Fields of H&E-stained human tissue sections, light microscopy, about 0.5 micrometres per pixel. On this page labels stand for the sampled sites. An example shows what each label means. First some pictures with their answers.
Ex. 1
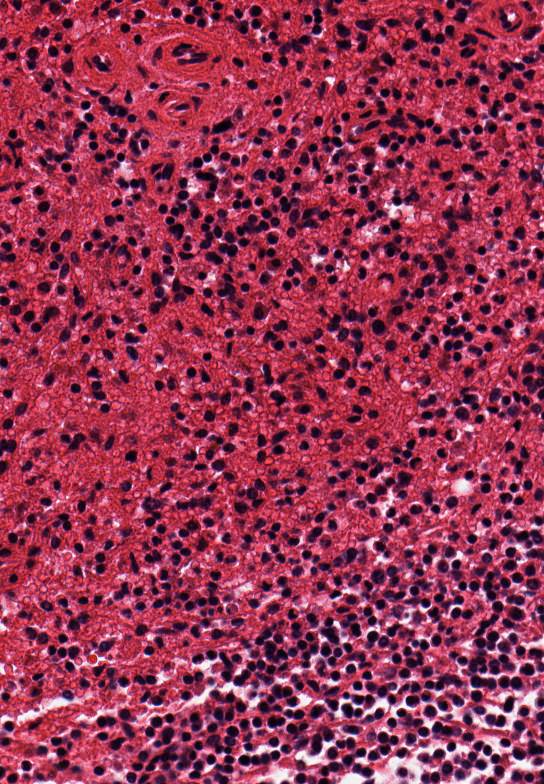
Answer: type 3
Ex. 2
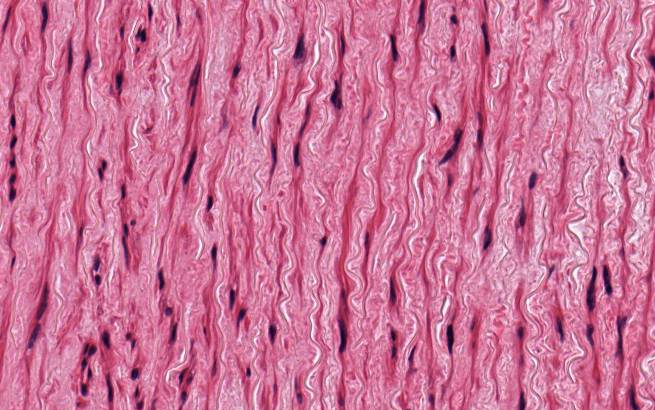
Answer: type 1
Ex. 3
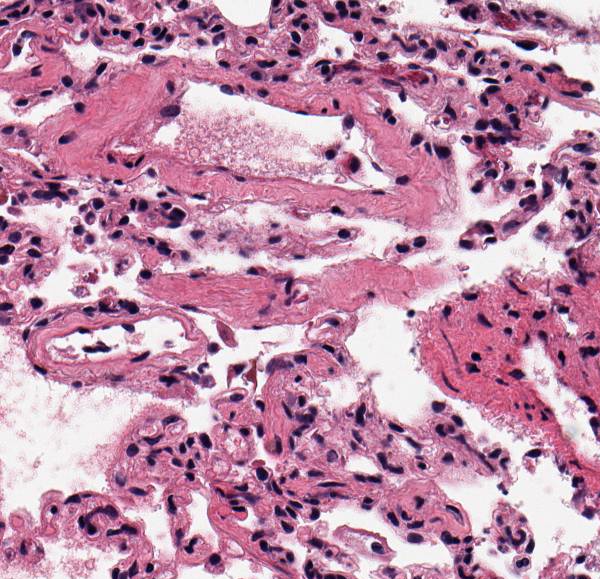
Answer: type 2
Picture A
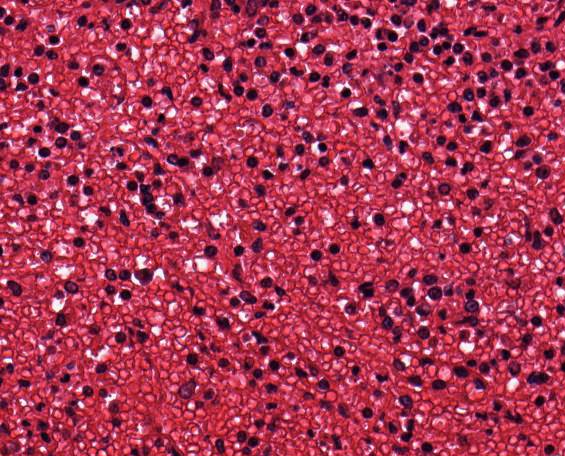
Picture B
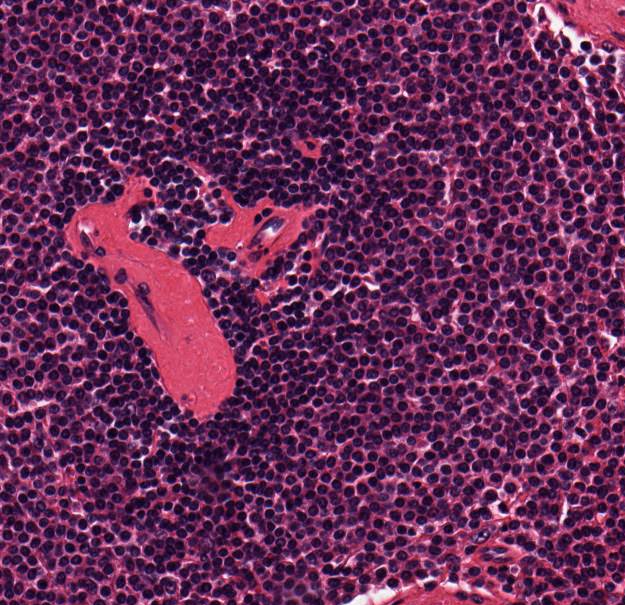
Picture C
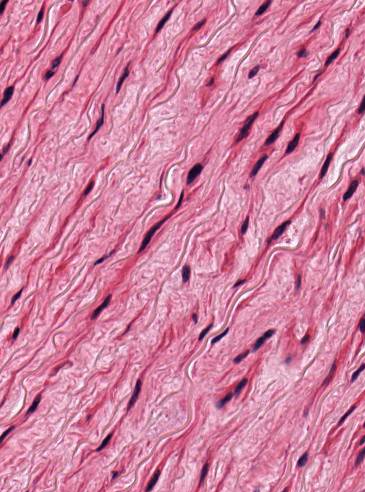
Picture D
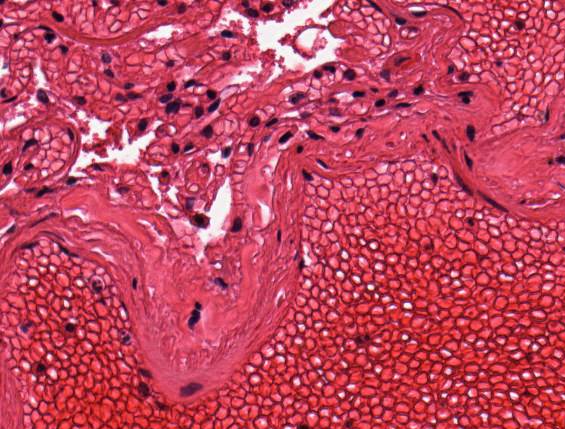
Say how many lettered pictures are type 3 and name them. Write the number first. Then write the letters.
2, namely A, B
